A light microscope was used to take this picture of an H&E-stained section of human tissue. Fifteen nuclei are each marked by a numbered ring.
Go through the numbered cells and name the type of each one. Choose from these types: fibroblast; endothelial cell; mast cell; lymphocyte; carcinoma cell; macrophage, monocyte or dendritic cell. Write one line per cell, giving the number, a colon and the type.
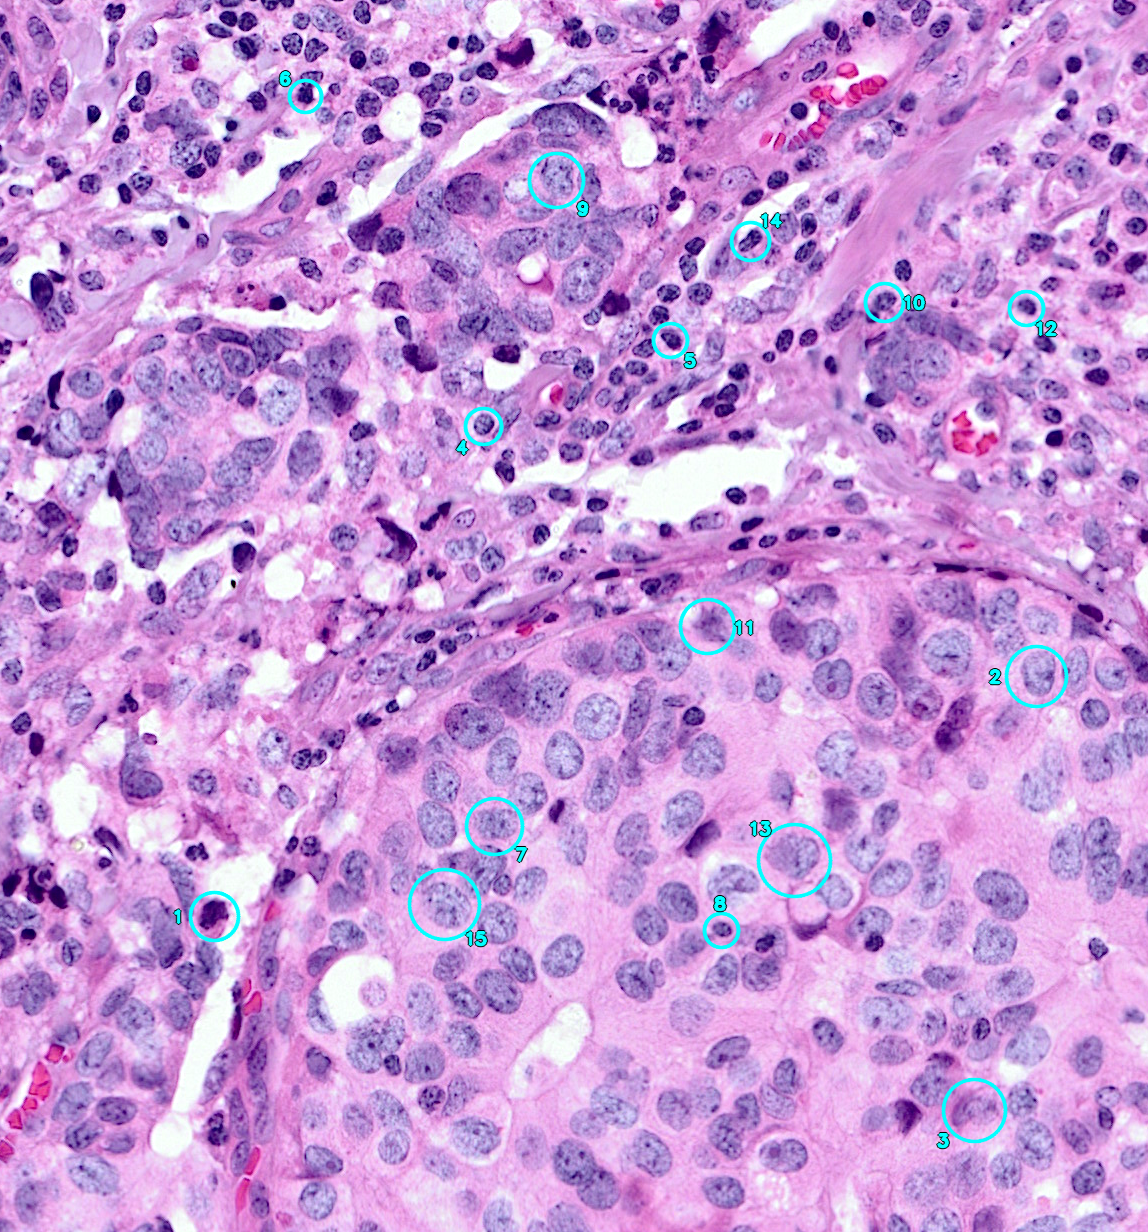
1: carcinoma cell
2: carcinoma cell
3: carcinoma cell
4: lymphocyte
5: lymphocyte
6: lymphocyte
7: carcinoma cell
8: lymphocyte
9: carcinoma cell
10: lymphocyte
11: carcinoma cell
12: lymphocyte
13: carcinoma cell
14: lymphocyte
15: carcinoma cell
